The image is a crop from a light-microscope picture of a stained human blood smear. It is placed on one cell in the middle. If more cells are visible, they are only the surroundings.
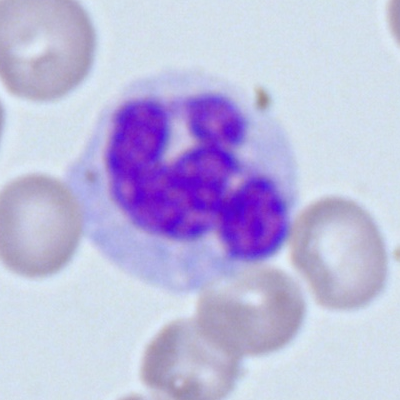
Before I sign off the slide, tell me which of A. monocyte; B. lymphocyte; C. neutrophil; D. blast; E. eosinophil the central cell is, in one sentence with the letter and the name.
Option A is right in identifying the central cell as a monocyte.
